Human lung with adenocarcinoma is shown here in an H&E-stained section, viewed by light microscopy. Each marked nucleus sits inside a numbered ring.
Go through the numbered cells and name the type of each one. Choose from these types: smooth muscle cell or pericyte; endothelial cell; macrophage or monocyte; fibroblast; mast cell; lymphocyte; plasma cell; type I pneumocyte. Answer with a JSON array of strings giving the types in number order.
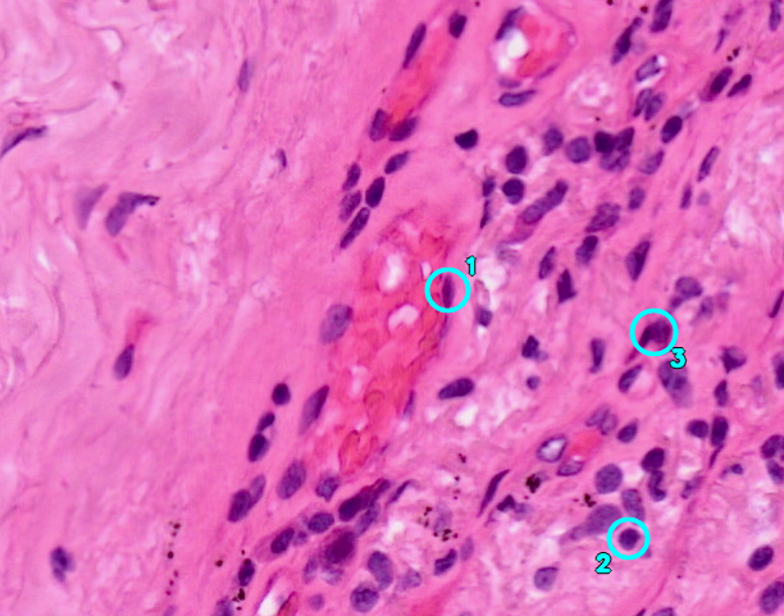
["endothelial cell", "lymphocyte", "plasma cell"]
